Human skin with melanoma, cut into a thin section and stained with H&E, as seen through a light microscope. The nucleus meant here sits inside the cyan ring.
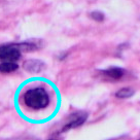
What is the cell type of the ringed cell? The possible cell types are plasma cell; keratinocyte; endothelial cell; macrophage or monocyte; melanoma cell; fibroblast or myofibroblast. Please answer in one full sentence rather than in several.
Among the cells in this section, the ringed cell is a plasma cell.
